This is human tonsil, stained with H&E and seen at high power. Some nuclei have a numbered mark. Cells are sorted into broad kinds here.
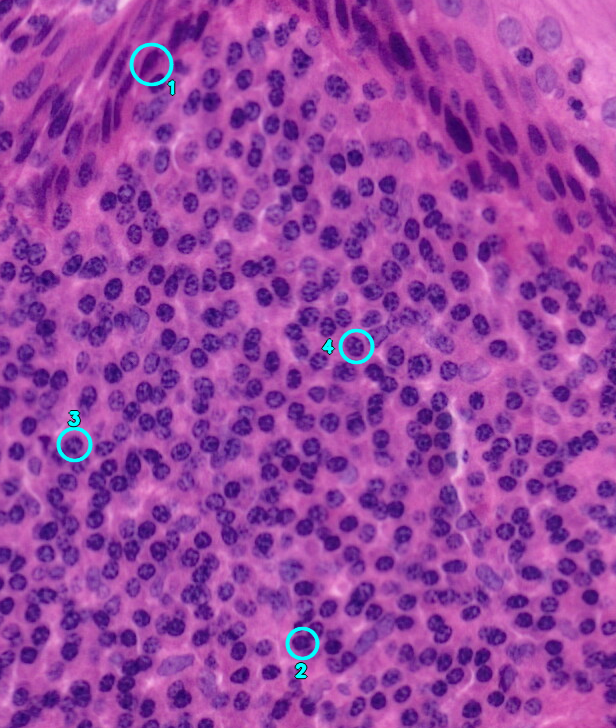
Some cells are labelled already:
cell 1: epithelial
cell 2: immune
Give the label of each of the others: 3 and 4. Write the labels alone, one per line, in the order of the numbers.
immune
immune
